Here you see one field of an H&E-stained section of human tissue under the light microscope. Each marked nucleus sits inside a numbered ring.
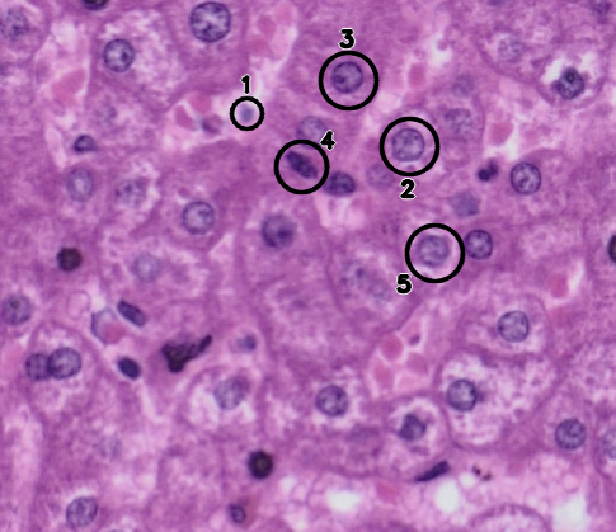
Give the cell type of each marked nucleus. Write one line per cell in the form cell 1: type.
cell 1: lymphocyte
cell 2: hepatocyte
cell 3: hepatocyte
cell 4: fibroblast or stellate cell
cell 5: hepatocyte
